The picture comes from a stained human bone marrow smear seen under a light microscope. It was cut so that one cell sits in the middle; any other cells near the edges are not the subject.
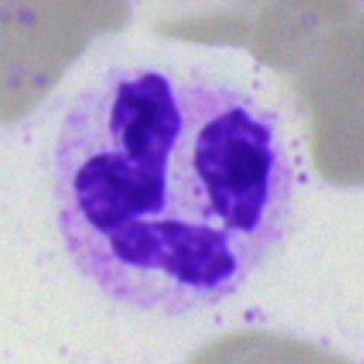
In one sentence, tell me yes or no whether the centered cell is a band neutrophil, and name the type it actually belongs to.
No, the identification should read a segmented neutrophil, not a band neutrophil, for the central cell.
